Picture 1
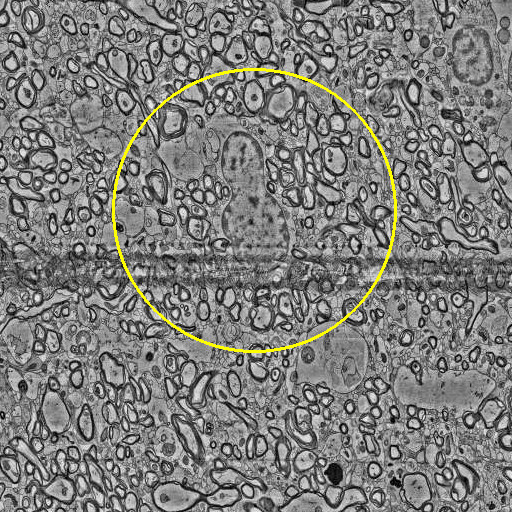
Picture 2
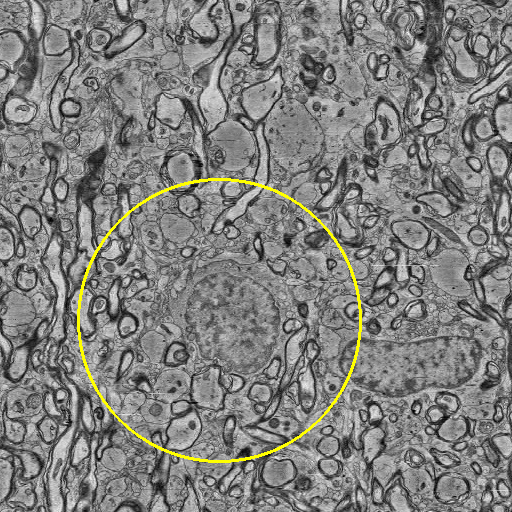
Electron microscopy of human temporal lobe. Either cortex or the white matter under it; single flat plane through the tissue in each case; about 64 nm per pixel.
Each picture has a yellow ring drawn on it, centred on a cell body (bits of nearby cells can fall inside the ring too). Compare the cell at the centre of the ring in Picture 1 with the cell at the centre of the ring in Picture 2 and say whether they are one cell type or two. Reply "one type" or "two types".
two types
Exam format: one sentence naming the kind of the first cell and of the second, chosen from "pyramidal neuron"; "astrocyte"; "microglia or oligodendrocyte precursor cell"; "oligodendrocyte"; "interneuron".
The first picture's cell is a microglial cell or oligodendrocyte precursor cell, and the second picture's cell is an oligodendrocyte.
